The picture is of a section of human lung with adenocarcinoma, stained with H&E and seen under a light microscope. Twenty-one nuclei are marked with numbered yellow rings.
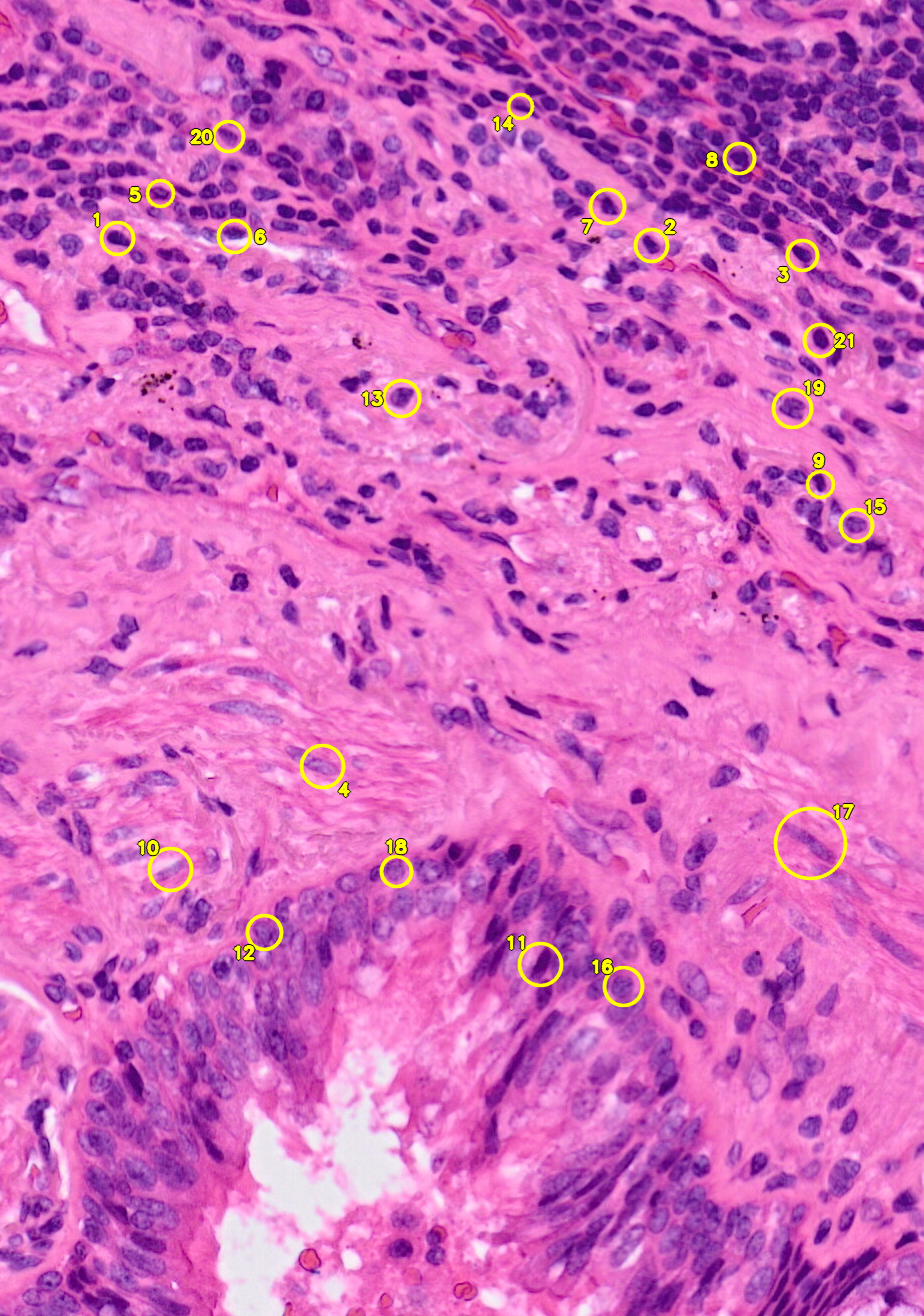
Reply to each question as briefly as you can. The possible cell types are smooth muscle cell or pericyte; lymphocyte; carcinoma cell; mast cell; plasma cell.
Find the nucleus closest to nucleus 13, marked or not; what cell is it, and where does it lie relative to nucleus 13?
a mast cell; below and to the right of nucleus 13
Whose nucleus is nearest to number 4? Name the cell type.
smooth muscle cell or pericyte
